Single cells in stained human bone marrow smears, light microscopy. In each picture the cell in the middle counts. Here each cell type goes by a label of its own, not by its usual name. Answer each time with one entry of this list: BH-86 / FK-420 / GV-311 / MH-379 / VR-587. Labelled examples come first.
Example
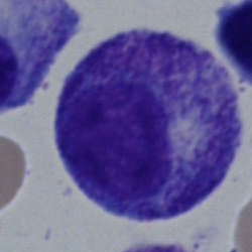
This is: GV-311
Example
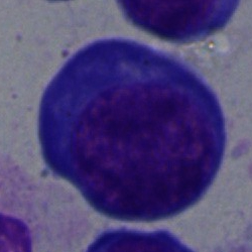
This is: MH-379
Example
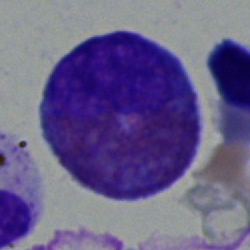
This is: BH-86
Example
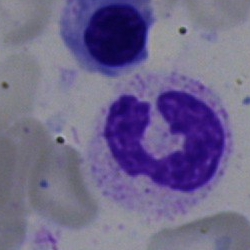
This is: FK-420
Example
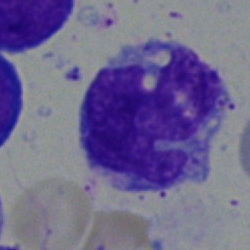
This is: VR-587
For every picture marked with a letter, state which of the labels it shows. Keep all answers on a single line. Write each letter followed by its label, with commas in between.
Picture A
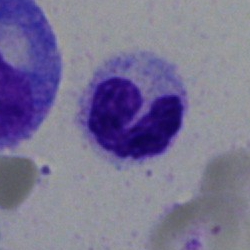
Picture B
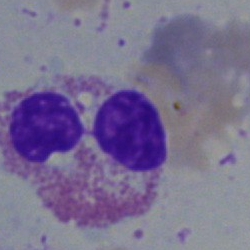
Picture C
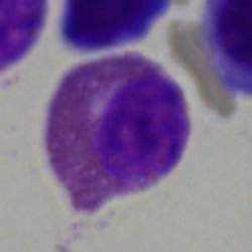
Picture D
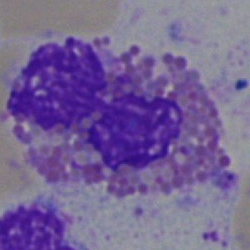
A FK-420, B BH-86, C BH-86, D BH-86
